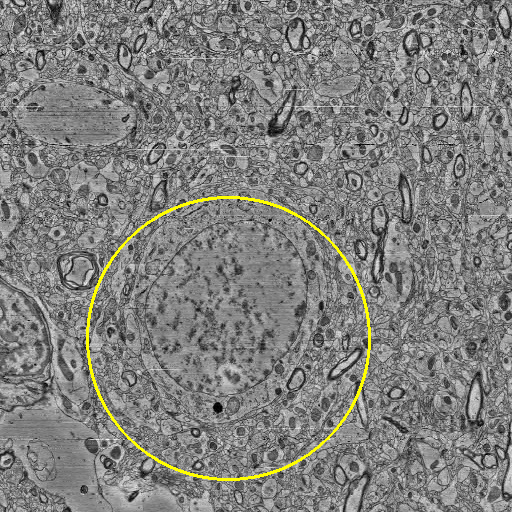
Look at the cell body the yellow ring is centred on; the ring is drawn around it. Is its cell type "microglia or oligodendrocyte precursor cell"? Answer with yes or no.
No, its cell type is another.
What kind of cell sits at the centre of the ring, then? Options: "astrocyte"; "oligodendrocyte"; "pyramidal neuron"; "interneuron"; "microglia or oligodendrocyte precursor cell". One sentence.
Instead, what sits at the centre of the ring is a pyramidal neuron.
